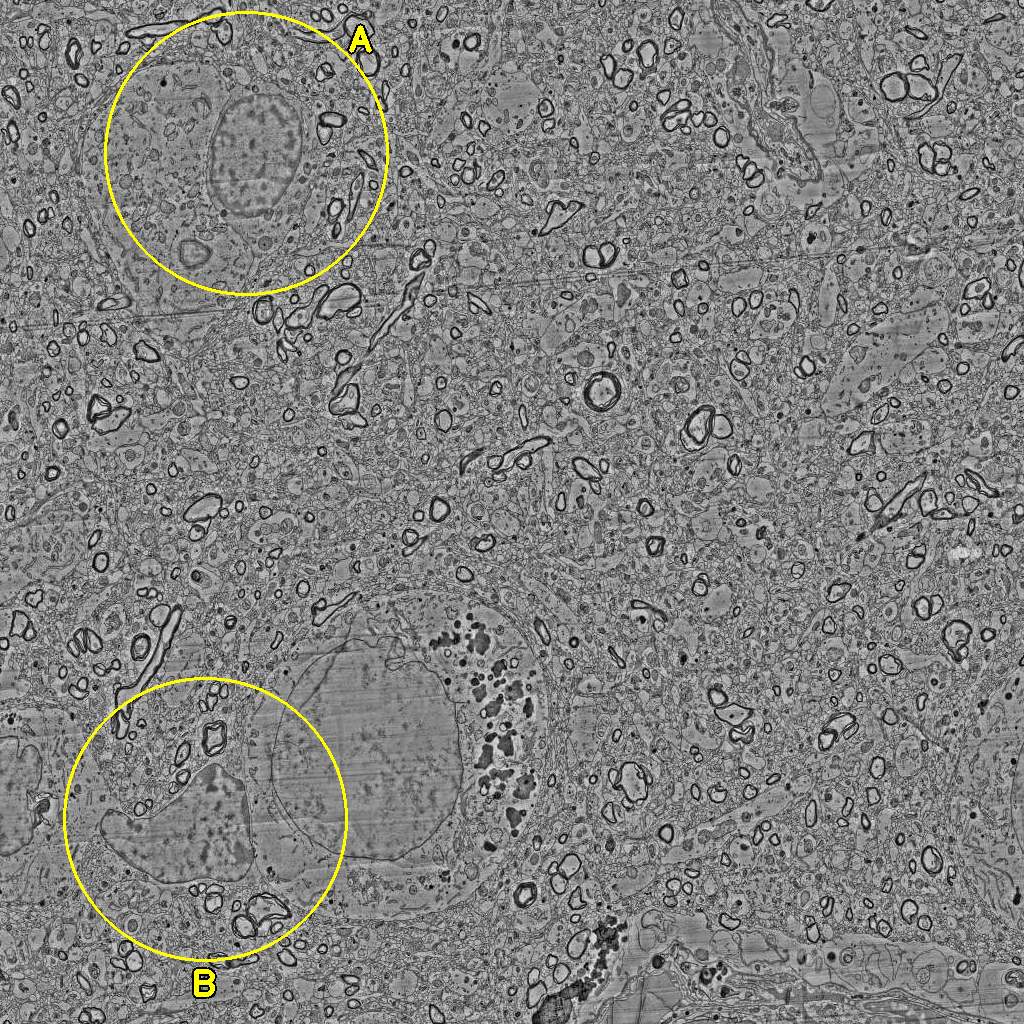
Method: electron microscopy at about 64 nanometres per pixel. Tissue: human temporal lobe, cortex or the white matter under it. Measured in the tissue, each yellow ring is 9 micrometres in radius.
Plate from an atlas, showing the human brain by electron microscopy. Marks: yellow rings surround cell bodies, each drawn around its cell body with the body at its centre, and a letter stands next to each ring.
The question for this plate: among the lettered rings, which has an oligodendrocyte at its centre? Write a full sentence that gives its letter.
Ring A holds at its centre the cell that the question asks about in the picture.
